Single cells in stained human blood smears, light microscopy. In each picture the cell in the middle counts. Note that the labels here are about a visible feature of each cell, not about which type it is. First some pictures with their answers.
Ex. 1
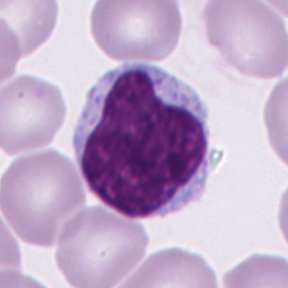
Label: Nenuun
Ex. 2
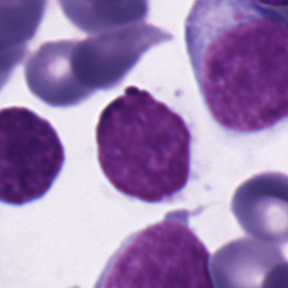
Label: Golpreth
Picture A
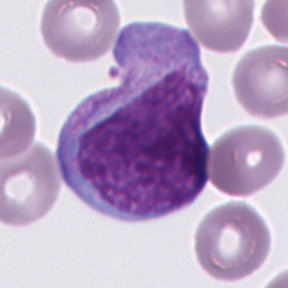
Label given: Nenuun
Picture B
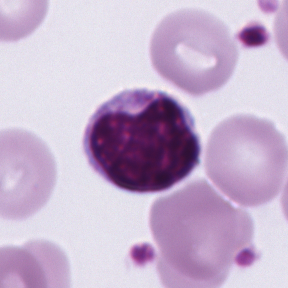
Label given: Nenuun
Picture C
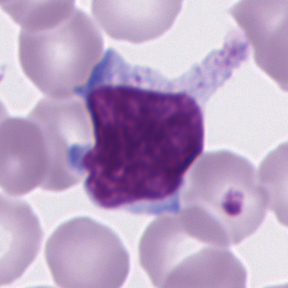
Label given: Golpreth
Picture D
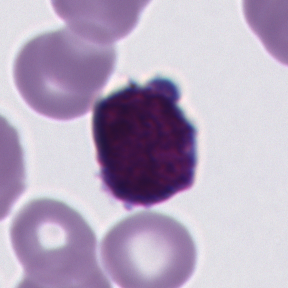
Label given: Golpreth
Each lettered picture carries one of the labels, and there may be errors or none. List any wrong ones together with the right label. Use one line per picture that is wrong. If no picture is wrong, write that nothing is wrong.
Wrong: A (Nenuun); correct: Golpreth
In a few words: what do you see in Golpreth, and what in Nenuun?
Seen in Golpreth: ragged outline or projections; seen in Nenuun: smooth outline.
